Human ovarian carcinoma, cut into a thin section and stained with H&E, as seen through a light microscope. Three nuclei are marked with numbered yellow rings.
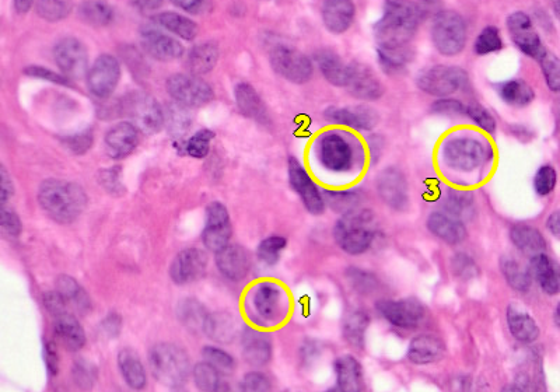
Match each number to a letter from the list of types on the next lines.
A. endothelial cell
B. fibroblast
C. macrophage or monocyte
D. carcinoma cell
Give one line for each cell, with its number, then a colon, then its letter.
1: C
2: D
3: C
